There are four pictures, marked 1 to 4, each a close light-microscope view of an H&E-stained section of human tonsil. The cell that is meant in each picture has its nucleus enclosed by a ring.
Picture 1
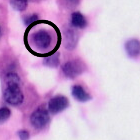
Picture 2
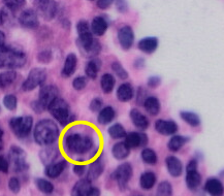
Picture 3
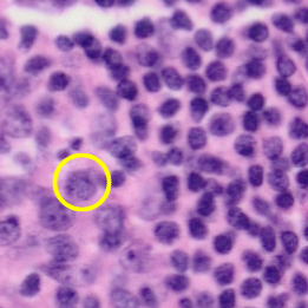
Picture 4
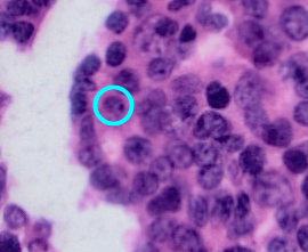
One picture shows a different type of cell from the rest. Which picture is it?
1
